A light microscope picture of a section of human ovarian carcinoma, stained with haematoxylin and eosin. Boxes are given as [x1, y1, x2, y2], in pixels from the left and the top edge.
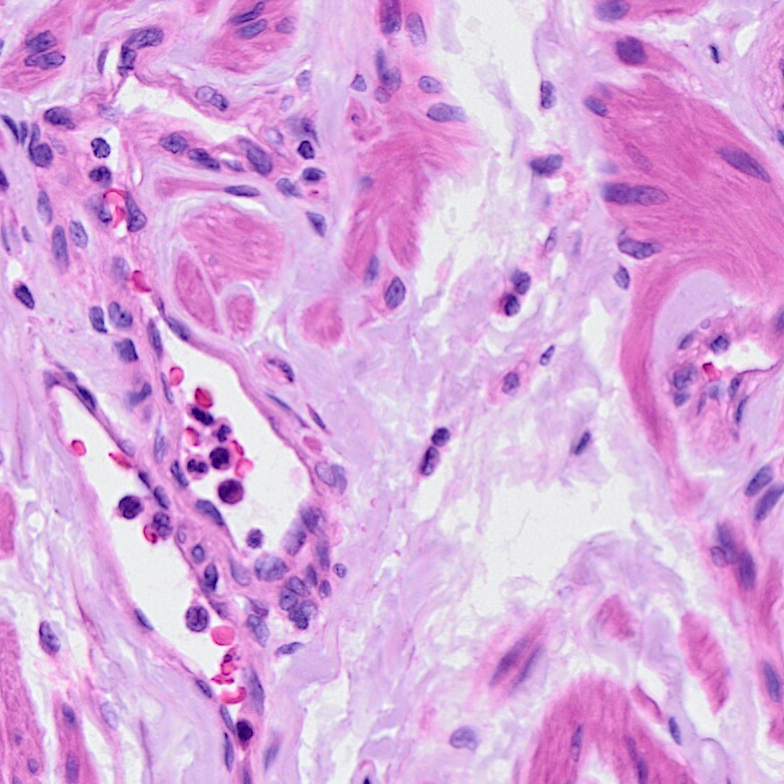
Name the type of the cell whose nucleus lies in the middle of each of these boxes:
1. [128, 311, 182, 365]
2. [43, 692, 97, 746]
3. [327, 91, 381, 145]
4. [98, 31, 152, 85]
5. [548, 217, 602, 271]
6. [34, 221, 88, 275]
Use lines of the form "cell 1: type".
cell 1: endothelial cell
cell 2: smooth muscle cell
cell 3: smooth muscle cell
cell 4: endothelial cell
cell 5: fibroblast
cell 6: endothelial cell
